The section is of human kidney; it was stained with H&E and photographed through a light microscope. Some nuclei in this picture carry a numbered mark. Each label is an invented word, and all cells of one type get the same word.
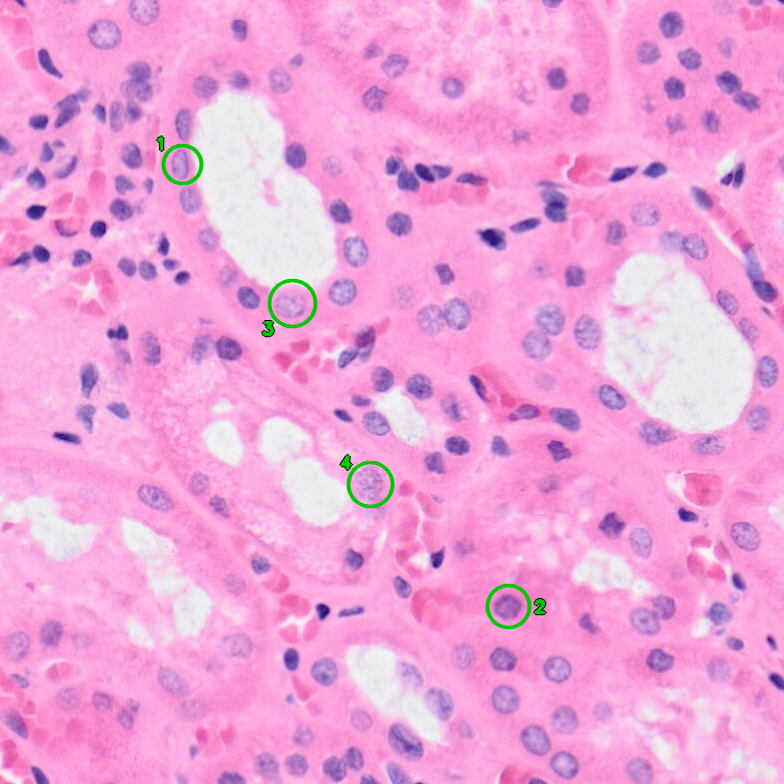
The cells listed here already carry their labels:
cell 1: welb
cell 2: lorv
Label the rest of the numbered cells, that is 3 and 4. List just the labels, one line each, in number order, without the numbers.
welb
lorv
